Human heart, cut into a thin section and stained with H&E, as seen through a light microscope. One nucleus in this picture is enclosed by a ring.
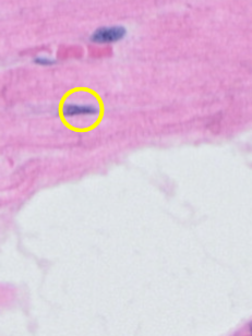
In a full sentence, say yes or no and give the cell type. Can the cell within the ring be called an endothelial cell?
Yes, an endothelial cell is the correct identification for the cell within the ring.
